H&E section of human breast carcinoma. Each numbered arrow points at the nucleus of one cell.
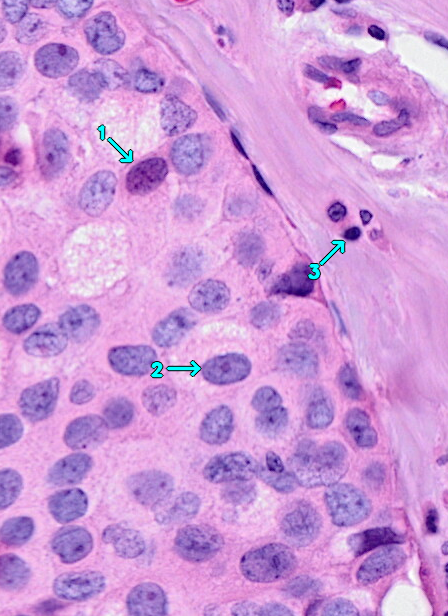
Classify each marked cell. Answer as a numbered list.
1. carcinoma cell
2. carcinoma cell
3. lymphocyte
